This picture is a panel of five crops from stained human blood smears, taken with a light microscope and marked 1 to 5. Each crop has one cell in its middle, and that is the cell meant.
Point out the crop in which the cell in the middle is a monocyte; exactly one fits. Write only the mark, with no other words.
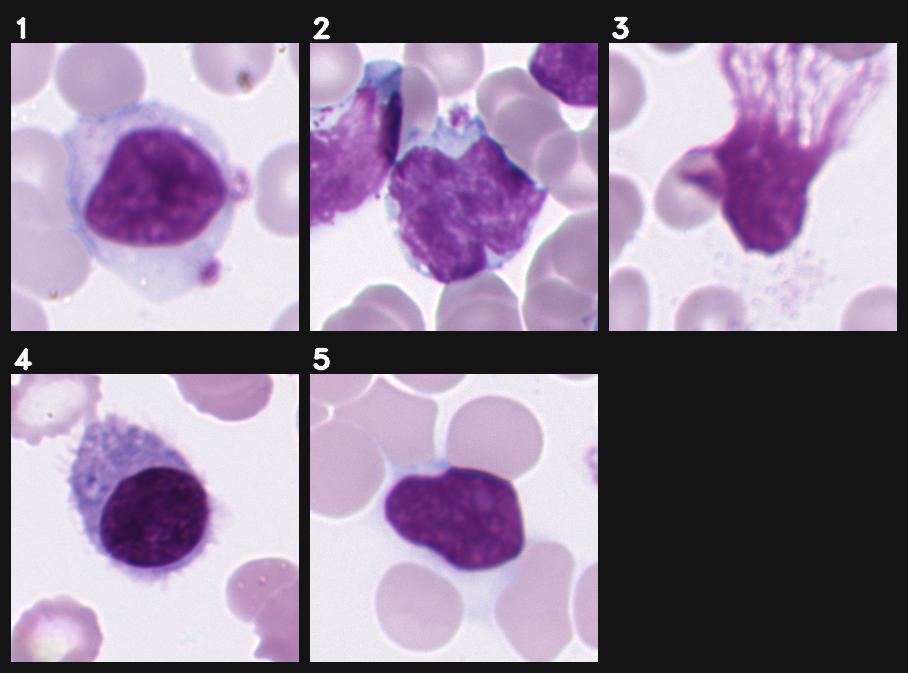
2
